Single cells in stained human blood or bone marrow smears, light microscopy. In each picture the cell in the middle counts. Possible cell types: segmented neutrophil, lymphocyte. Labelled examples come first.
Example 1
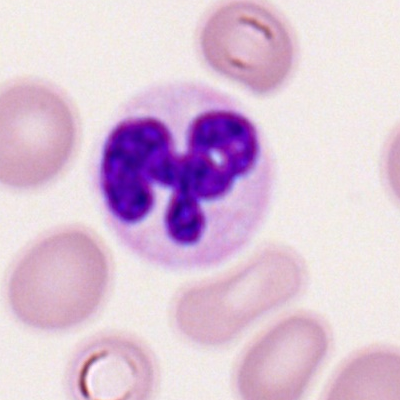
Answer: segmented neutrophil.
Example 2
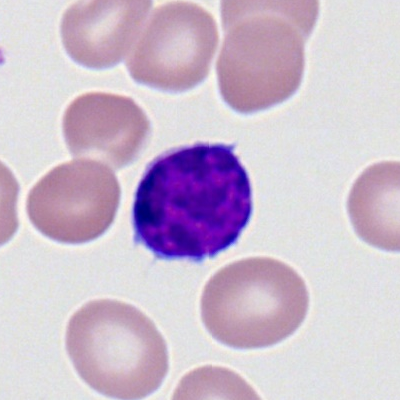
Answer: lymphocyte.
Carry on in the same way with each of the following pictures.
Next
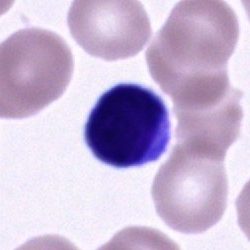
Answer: lymphocyte.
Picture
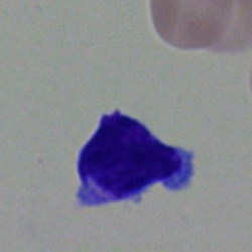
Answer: lymphocyte.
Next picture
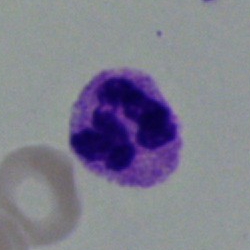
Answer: segmented neutrophil.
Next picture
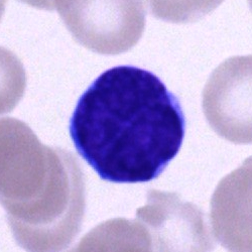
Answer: lymphocyte.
